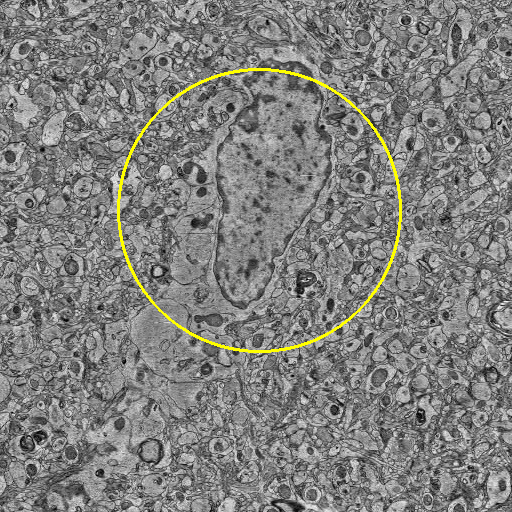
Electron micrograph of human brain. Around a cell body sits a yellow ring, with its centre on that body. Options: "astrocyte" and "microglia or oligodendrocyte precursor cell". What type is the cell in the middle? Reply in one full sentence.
The cell sitting at the centre of the yellow ring is a microglial cell or oligodendrocyte precursor cell.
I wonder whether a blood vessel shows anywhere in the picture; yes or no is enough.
Yes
